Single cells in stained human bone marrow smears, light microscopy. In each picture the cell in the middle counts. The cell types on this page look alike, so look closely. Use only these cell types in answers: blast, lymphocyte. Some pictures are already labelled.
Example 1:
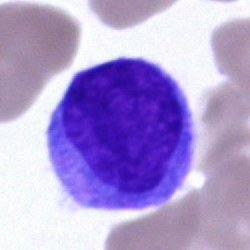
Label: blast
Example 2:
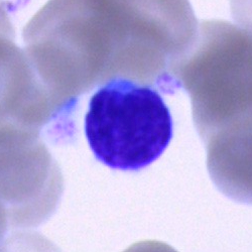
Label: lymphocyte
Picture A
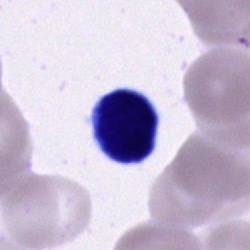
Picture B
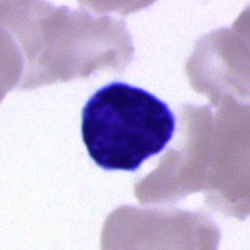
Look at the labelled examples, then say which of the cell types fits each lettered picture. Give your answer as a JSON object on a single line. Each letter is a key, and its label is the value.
{"A": "lymphocyte", "B": "lymphocyte"}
